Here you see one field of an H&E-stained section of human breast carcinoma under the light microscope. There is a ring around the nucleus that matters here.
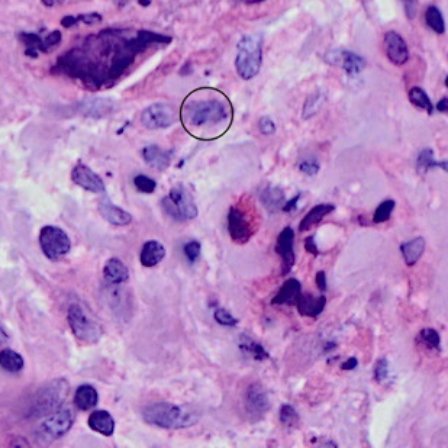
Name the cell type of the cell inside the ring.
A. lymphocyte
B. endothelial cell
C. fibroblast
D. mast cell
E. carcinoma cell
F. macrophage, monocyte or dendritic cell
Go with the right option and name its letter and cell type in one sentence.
Under option F, the cell inside the ring is a macrophage, monocyte or dendritic cell, which is the correct identification.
